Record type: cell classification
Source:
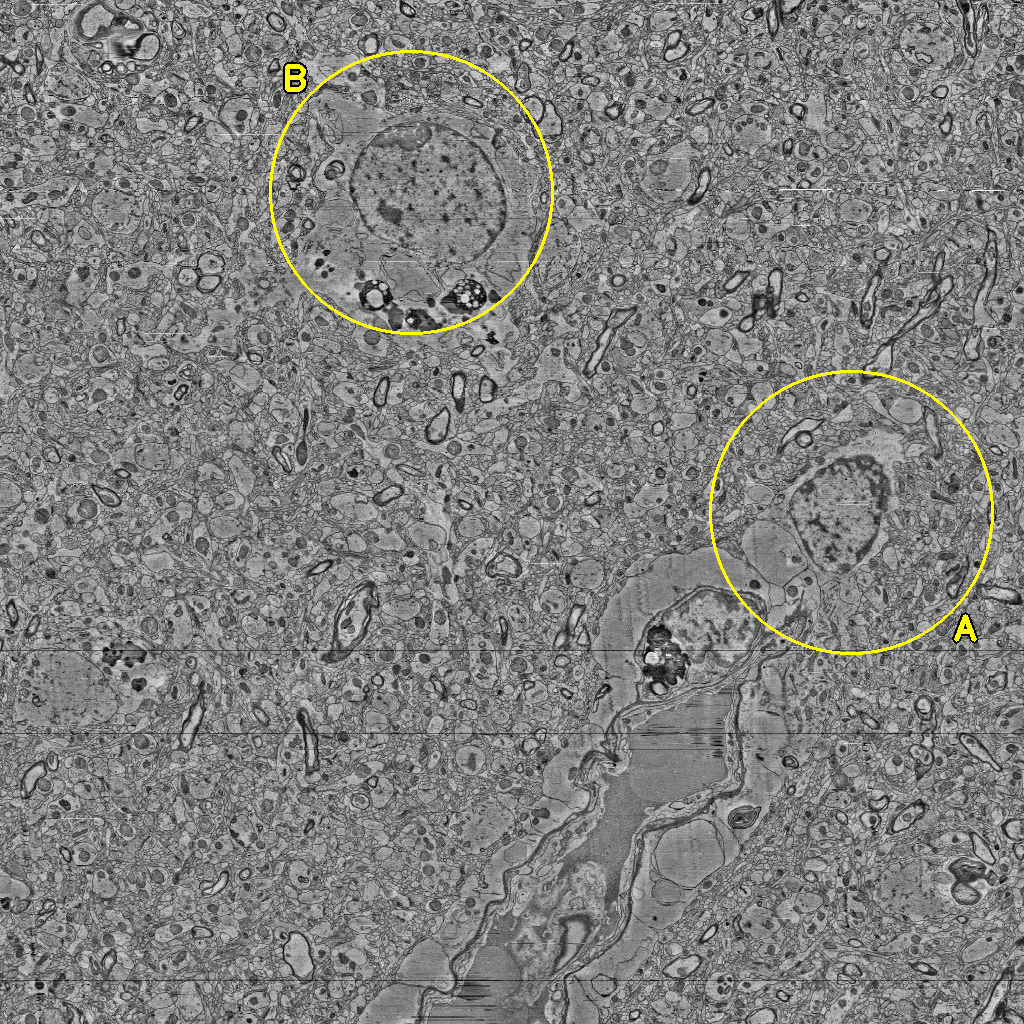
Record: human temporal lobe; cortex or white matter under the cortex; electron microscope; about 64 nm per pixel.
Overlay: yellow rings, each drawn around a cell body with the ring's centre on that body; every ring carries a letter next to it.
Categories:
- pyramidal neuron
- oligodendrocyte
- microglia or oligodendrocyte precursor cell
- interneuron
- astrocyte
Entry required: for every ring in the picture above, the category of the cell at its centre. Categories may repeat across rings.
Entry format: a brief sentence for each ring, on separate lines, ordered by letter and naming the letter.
At the centre of ring A lies a microglial cell or oligodendrocyte precursor cell.
At the centre of ring B lies an astrocyte.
